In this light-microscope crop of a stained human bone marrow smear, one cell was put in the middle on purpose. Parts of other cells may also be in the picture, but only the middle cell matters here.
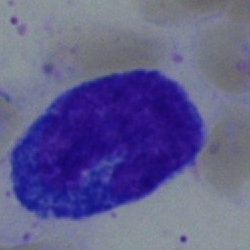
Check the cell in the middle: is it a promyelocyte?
yes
